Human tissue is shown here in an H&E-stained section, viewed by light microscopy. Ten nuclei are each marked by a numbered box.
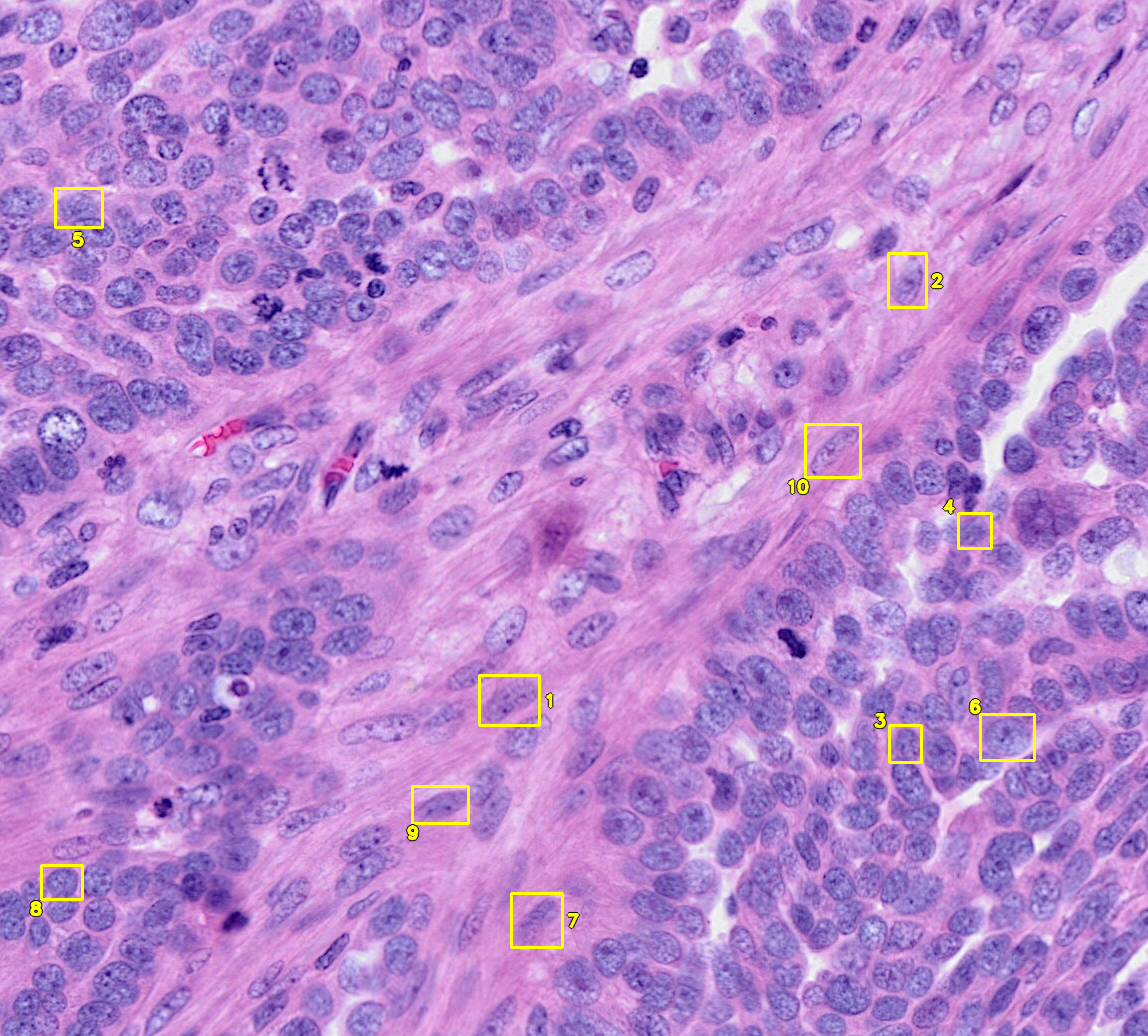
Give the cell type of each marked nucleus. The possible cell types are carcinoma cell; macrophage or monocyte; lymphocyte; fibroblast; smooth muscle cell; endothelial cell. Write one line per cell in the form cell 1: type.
cell 1: fibroblast
cell 2: fibroblast
cell 3: carcinoma cell
cell 4: carcinoma cell
cell 5: carcinoma cell
cell 6: carcinoma cell
cell 7: fibroblast
cell 8: carcinoma cell
cell 9: fibroblast
cell 10: fibroblast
